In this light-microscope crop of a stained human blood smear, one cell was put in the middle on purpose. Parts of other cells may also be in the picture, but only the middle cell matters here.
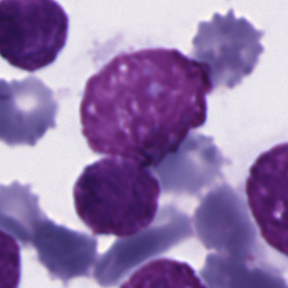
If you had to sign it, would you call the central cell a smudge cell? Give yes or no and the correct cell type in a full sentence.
No, mark the middle cell as a myeloblast, not a smudge cell.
